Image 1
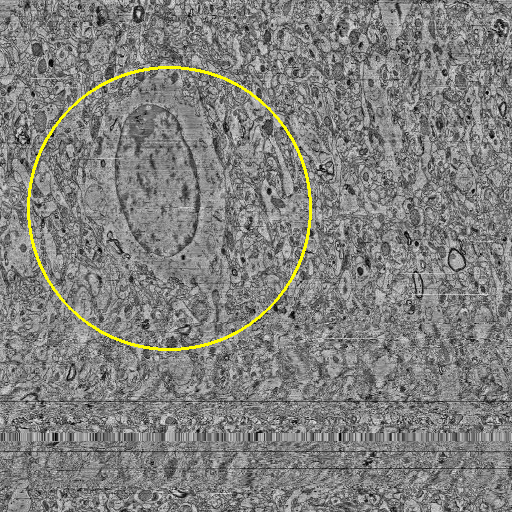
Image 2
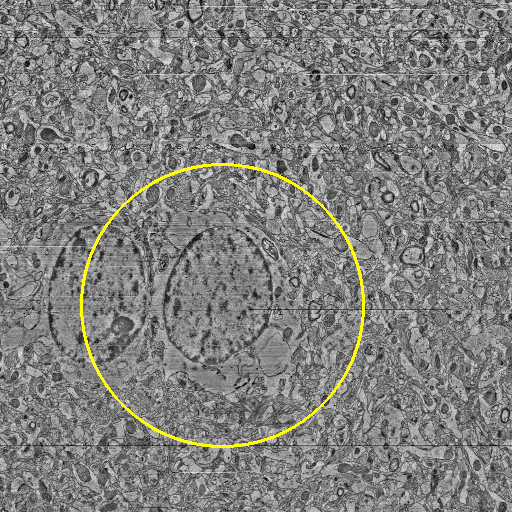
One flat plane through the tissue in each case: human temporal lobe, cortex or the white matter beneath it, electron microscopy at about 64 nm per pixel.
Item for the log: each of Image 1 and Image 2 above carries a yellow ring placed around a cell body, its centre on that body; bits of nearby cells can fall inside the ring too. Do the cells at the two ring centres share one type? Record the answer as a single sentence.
Yes, the two cells at the ring centres in Image 1 and Image 2 share one type.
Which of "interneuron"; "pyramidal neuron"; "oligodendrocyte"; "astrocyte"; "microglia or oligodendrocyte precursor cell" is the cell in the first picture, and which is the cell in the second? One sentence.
Each of the two pictures has an astrocyte at the ring centre.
